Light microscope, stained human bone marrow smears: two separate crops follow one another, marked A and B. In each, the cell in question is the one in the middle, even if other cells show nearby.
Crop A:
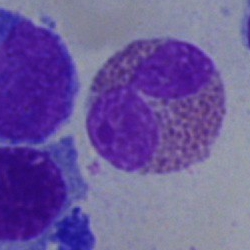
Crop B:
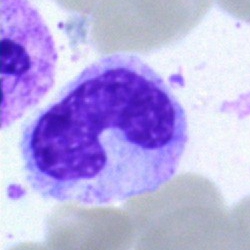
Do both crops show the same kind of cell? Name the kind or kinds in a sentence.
No, crop A shows an eosinophil, with a band neutrophil shown in crop B.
